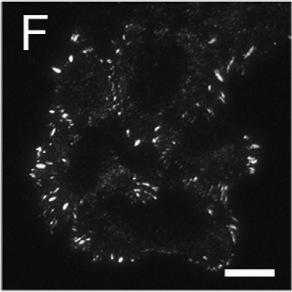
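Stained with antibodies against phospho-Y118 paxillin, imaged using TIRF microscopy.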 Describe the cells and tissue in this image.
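The spots cluster at the irregular, lobed margins of the cells and also occur scattered within the cell bodies. The spaces between and inside the cells are dark, giving the spots a sharp, discrete appearance.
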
